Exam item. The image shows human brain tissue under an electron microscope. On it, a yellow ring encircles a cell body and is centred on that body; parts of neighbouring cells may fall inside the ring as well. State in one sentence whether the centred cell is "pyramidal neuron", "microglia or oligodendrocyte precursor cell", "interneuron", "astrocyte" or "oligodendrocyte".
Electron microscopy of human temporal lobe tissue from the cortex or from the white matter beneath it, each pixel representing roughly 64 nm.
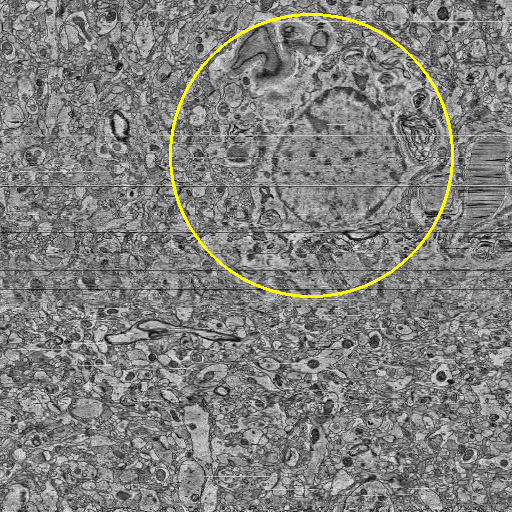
The cell body centred in the ring is an astrocyte.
